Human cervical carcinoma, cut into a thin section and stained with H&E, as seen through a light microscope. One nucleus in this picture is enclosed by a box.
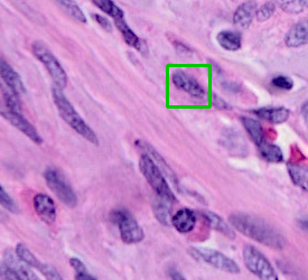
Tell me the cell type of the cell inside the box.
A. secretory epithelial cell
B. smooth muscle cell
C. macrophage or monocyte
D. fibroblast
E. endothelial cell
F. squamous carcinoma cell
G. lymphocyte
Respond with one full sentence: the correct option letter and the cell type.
In short, option E: the cell inside the box is an endothelial cell.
